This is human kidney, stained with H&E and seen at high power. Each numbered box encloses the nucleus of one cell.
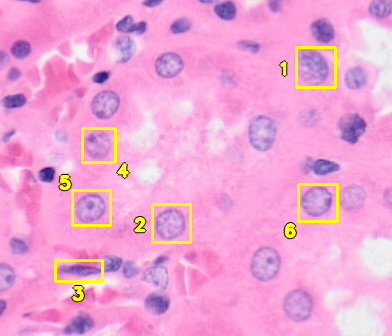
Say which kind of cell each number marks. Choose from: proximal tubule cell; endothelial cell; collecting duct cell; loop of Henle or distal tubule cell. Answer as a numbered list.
1. loop of Henle or distal tubule cell
2. proximal tubule cell
3. endothelial cell
4. proximal tubule cell
5. proximal tubule cell
6. proximal tubule cell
